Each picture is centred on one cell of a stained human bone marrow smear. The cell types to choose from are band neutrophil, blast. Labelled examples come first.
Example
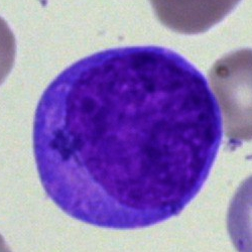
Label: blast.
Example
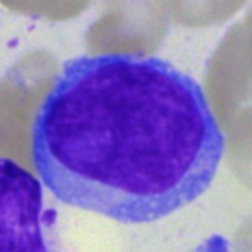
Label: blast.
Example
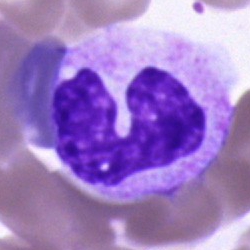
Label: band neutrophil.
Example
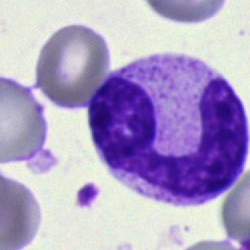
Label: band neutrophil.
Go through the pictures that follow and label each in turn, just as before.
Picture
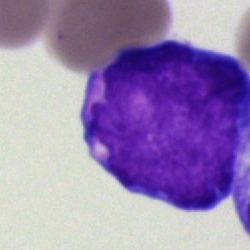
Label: blast.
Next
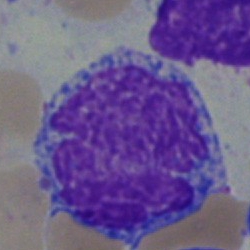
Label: blast.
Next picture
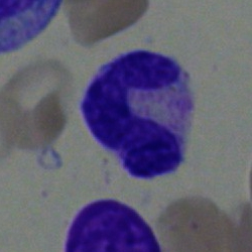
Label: band neutrophil.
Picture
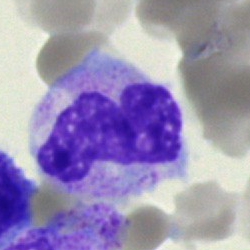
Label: band neutrophil.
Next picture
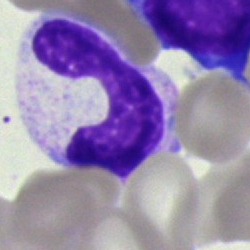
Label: band neutrophil.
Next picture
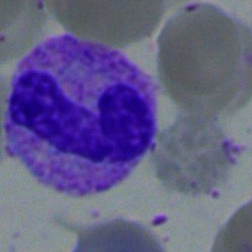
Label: band neutrophil.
